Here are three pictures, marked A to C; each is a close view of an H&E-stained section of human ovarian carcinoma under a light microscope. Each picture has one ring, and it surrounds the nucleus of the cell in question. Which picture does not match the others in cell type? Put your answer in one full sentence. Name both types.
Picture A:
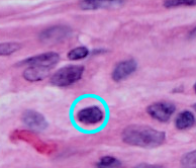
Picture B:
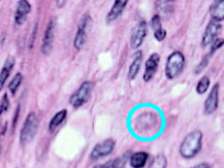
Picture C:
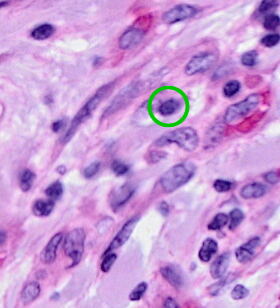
The different one is picture B; it shows a fibroblast, whereas all the others show lymphocytes.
